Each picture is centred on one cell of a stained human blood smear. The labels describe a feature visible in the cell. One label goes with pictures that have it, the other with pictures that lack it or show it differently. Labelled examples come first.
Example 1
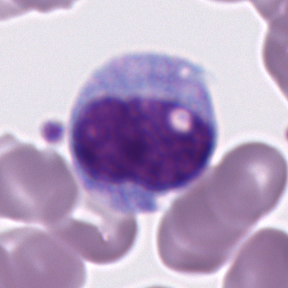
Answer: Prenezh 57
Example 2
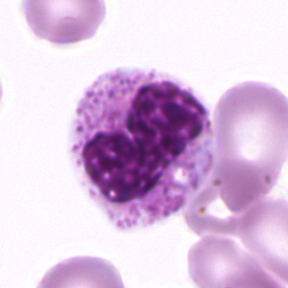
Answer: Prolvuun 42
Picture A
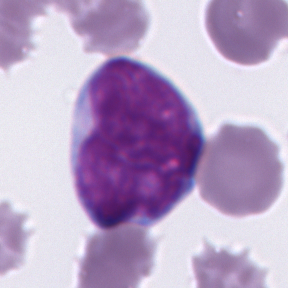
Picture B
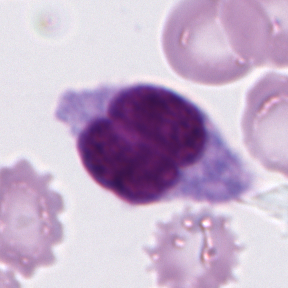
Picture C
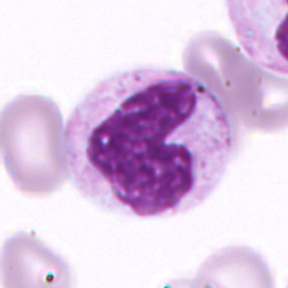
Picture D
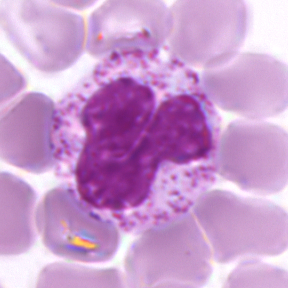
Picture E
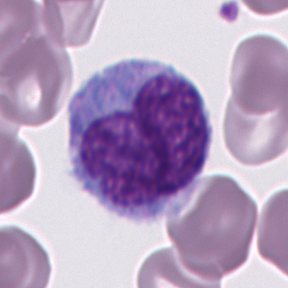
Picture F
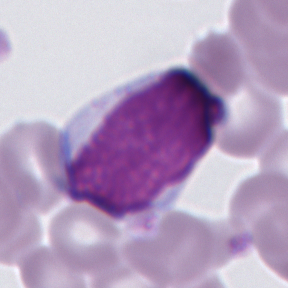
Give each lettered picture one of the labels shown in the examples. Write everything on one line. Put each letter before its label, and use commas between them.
A Prolvuun 42, B Prolvuun 42, C Prenezh 57, D Prolvuun 42, E Prenezh 57, F Prenezh 57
